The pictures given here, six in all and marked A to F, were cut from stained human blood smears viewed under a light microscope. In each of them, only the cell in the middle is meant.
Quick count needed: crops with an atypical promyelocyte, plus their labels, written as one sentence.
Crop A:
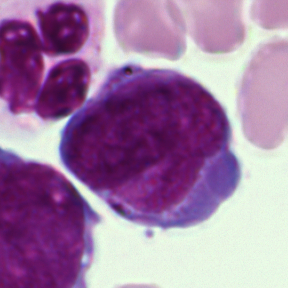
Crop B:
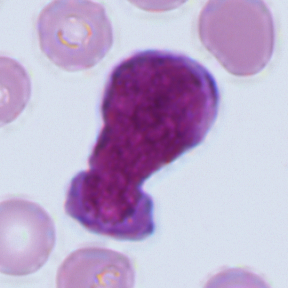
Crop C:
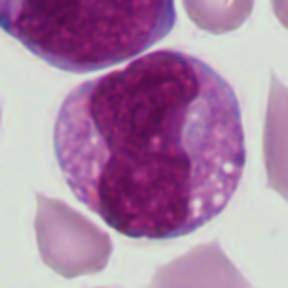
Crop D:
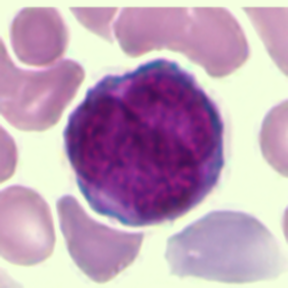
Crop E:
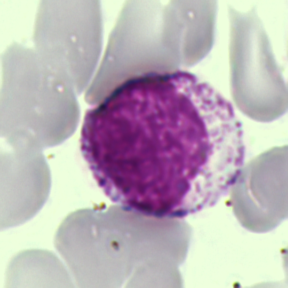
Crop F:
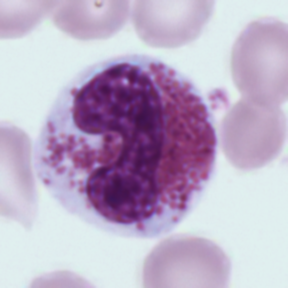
In four crops, namely A, B, C and D, the cells shown are atypical promyelocytes.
